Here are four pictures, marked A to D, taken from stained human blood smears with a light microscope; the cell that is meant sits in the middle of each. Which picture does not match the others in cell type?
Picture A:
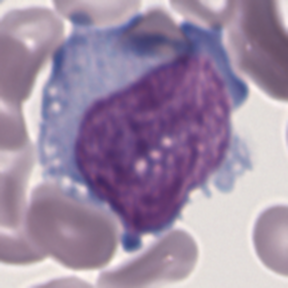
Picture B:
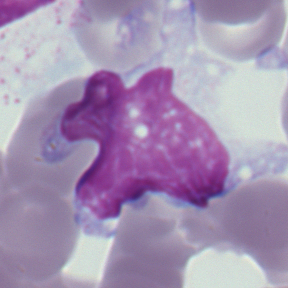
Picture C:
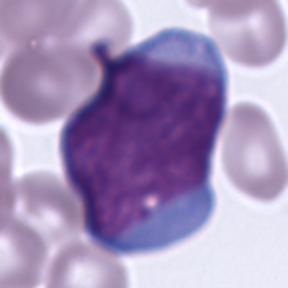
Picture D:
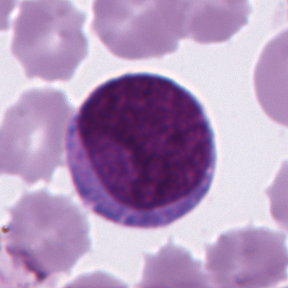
B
